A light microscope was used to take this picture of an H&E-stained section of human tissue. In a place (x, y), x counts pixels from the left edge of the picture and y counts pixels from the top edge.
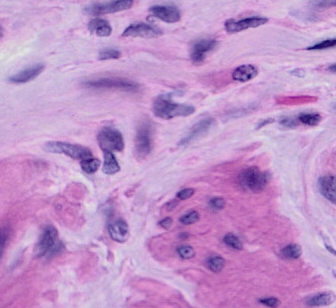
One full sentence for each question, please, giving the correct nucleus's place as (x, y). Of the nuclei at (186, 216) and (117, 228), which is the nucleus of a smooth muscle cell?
The nucleus of a smooth muscle cell is the one at (186, 216).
